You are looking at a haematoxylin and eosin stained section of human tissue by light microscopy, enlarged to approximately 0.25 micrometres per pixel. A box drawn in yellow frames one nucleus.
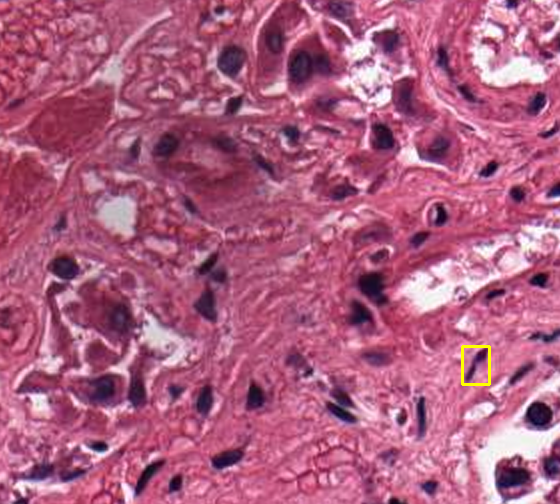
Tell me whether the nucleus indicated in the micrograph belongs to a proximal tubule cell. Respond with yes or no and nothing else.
no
